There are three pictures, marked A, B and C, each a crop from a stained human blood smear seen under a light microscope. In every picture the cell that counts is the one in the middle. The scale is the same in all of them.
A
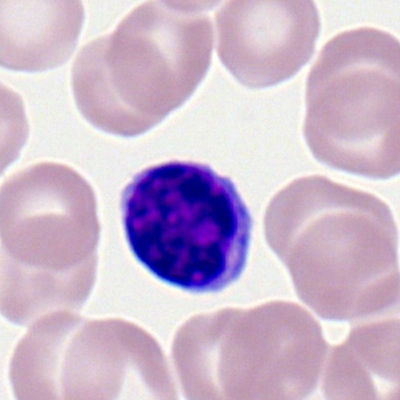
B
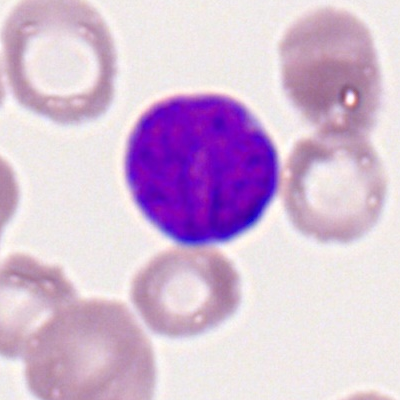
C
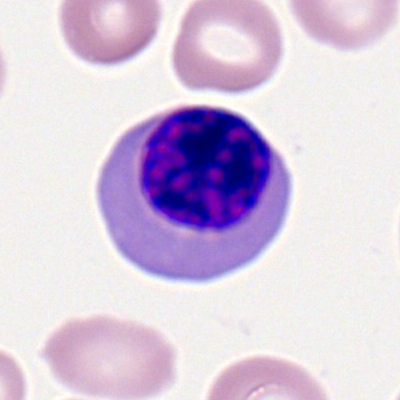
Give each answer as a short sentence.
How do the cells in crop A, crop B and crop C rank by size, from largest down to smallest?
Going down, they run C, B, A.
